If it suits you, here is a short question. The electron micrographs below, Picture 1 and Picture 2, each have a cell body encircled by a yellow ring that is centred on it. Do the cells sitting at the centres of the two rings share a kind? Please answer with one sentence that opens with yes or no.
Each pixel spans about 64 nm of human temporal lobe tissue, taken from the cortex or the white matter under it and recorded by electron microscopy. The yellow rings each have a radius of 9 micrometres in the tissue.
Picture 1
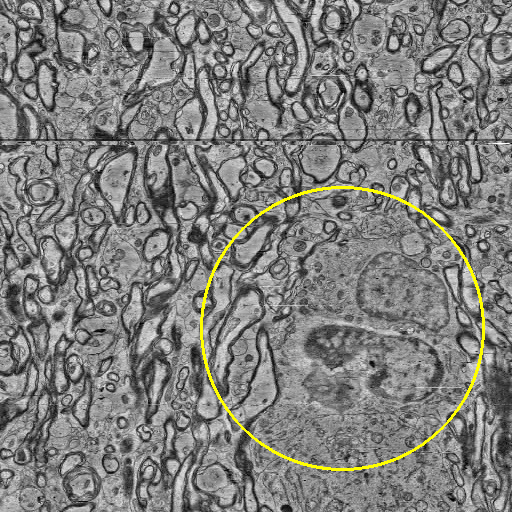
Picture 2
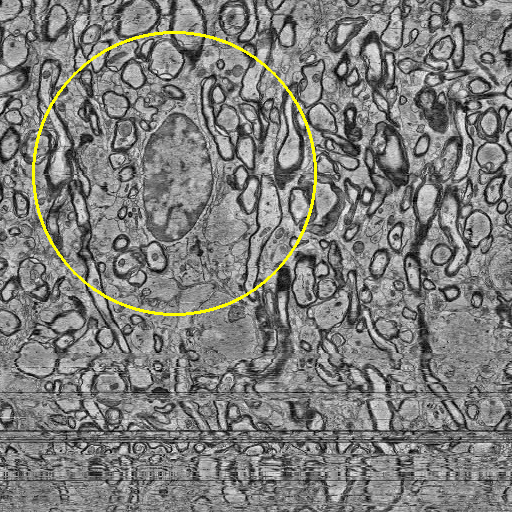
Yes, the two cells sitting at the ring centres share a single kind.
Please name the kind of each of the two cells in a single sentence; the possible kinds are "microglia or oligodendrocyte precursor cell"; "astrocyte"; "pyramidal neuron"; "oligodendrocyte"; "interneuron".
Both the first and the second picture show a microglial cell or oligodendrocyte precursor cell in the ring.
